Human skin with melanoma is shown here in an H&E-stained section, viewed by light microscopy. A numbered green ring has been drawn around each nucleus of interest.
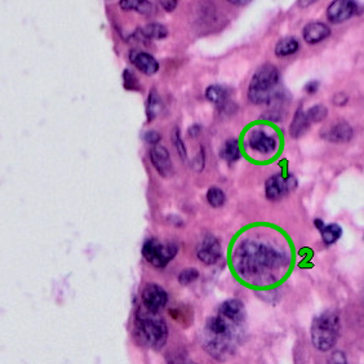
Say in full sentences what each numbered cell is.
Cell 1 is a lymphocyte and cell 2 is a melanoma cell.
